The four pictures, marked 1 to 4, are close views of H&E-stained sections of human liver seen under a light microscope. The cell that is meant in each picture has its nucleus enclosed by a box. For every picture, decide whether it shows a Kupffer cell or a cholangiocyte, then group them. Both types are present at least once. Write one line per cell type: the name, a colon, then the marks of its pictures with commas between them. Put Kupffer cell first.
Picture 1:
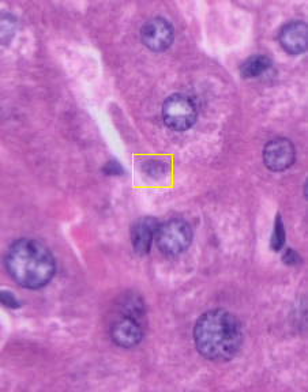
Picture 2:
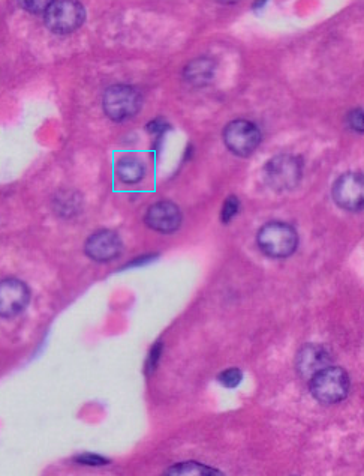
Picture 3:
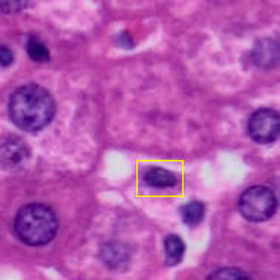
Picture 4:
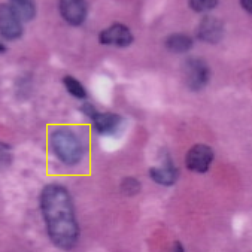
Kupffer cell: 1, 3
cholangiocyte: 2, 4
